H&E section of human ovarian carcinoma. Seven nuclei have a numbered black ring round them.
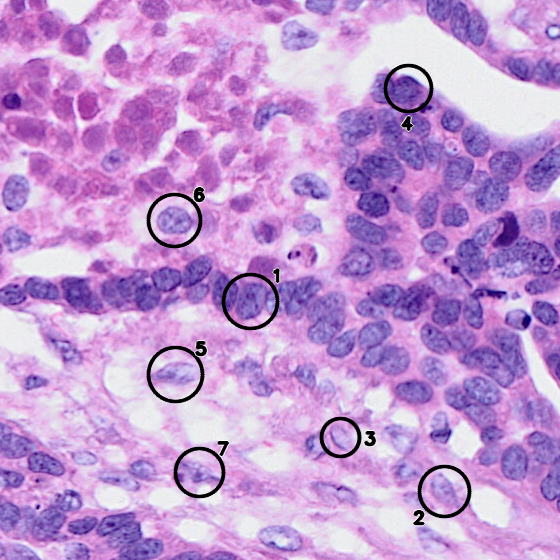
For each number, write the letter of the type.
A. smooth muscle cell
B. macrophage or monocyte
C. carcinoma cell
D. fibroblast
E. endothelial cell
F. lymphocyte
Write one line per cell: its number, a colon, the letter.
1: C
2: D
3: D
4: C
5: D
6: B
7: D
